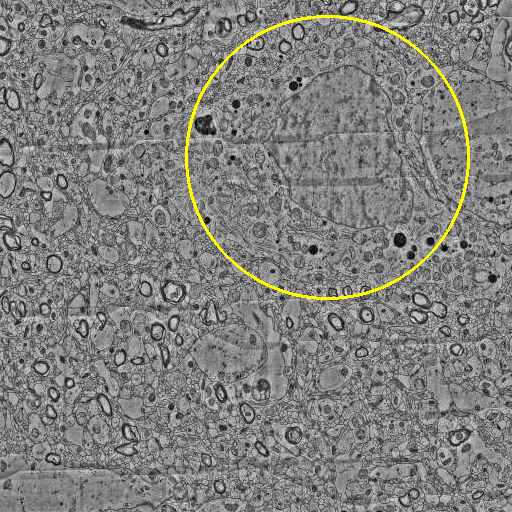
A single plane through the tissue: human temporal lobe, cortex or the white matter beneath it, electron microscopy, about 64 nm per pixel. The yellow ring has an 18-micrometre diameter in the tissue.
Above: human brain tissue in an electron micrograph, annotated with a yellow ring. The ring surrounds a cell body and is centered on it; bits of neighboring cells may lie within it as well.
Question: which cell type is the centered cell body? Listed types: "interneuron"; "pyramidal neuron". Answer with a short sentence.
The centered cell body is an interneuron.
